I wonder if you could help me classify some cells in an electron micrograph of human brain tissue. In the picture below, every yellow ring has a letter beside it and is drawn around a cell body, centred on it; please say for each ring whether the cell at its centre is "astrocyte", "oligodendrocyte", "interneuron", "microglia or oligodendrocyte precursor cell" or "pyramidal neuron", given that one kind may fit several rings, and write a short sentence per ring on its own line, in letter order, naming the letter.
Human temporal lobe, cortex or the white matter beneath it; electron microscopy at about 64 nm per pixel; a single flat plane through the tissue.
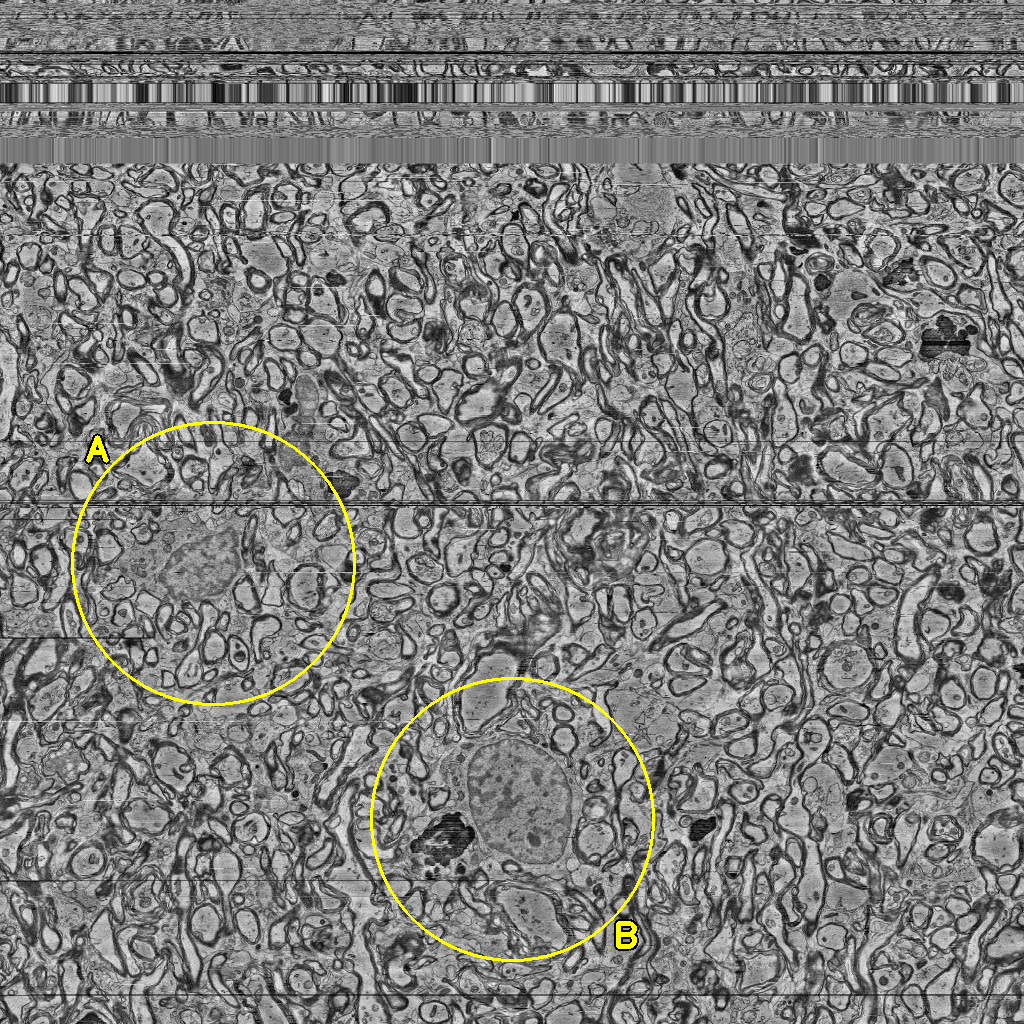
Centred in ring A is an oligodendrocyte.
Centred in ring B is an oligodendrocyte.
